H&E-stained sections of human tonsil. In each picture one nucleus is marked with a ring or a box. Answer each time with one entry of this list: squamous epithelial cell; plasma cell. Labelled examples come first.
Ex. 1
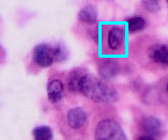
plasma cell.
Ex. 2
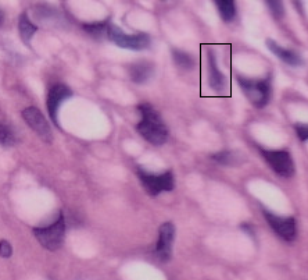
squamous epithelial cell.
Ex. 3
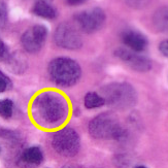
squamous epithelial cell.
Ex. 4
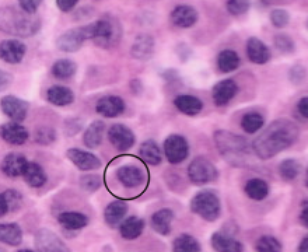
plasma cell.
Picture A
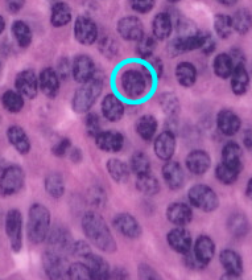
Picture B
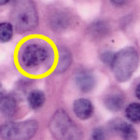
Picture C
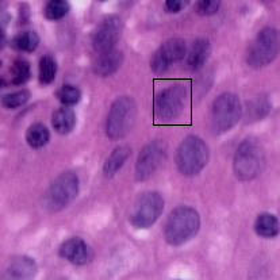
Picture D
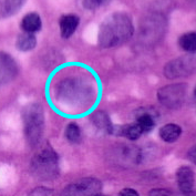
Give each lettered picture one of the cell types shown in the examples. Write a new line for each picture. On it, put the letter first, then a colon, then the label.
A: plasma cell.
B: plasma cell.
C: squamous epithelial cell.
D: squamous epithelial cell.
